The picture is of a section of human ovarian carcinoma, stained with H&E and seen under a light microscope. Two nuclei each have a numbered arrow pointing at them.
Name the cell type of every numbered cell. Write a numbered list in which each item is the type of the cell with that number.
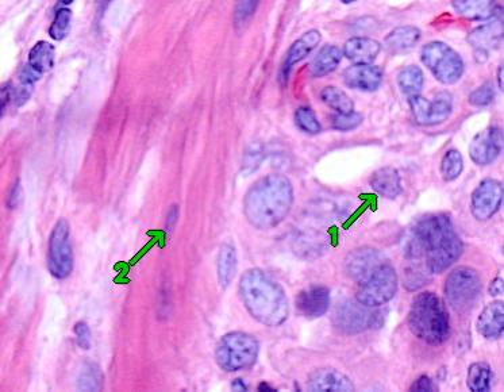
1. macrophage or monocyte
2. smooth muscle cell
